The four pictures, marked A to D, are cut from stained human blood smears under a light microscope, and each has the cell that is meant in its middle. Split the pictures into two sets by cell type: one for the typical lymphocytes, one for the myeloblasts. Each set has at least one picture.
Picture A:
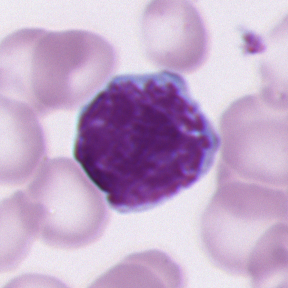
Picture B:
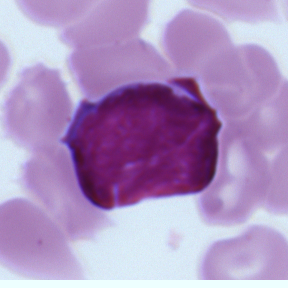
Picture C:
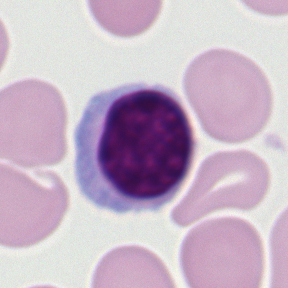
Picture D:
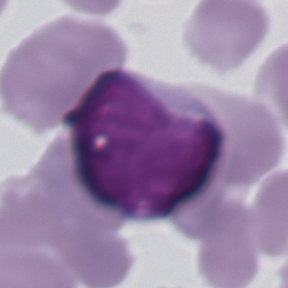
A: typical lymphocyte
B: myeloblast
C: typical lymphocyte
D: myeloblast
